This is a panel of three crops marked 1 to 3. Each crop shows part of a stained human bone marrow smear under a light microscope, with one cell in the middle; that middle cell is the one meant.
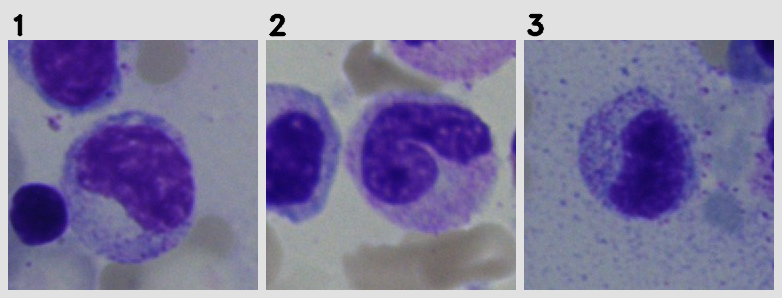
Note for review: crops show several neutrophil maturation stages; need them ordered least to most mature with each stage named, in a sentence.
When lined up from least to most mature, the crops are crop 3 (a myelocyte), crop 1 (a metamyelocyte) and crop 2 (a band neutrophil).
